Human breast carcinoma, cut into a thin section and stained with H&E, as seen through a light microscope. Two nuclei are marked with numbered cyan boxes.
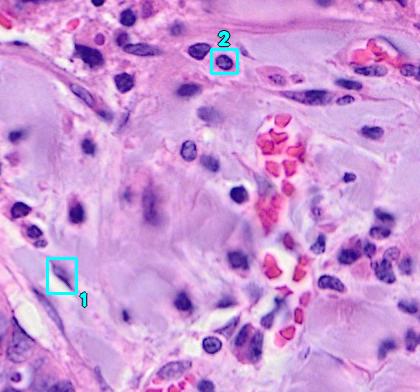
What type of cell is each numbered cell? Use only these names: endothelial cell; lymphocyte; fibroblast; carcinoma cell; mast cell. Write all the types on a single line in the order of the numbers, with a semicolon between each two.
fibroblast; mast cell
